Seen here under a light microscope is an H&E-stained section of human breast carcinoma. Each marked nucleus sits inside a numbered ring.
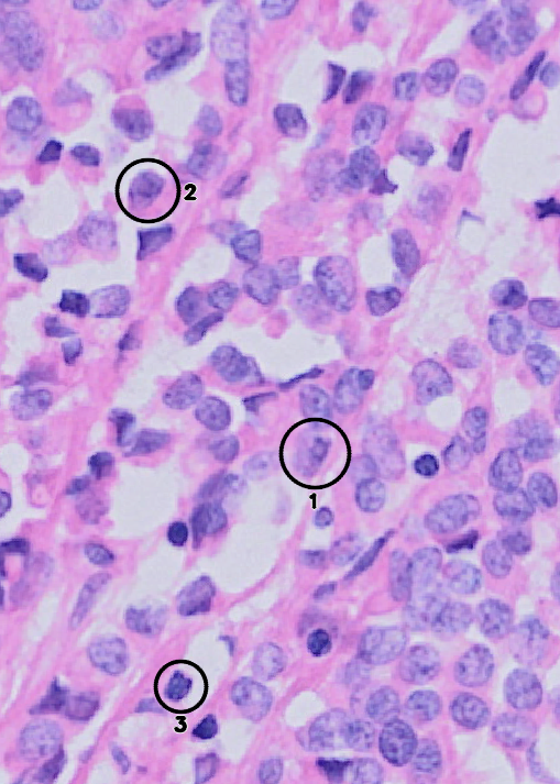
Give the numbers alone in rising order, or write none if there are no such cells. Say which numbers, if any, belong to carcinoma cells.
1, 2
